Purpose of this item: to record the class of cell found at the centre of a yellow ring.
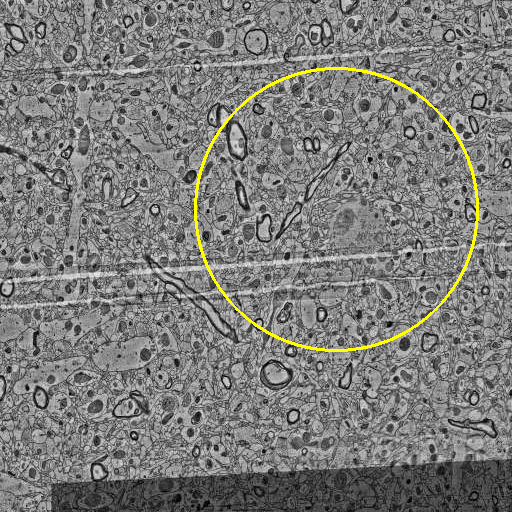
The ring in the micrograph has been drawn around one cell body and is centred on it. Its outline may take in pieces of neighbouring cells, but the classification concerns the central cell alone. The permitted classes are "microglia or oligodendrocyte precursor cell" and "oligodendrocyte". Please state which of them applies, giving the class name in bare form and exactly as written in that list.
oligodendrocyte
